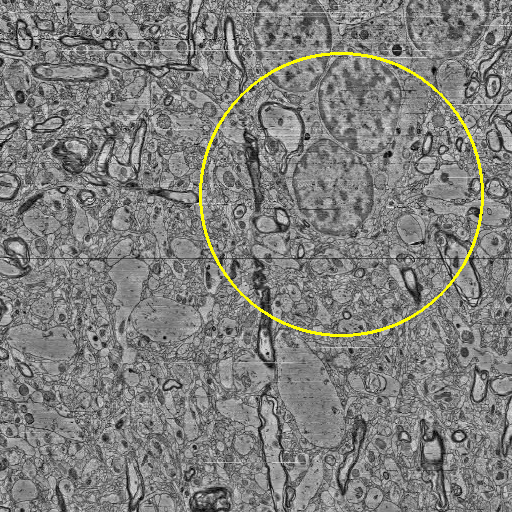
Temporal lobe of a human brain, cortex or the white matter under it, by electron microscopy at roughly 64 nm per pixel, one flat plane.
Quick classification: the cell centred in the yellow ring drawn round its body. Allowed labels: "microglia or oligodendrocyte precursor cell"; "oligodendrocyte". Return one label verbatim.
oligodendrocyte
